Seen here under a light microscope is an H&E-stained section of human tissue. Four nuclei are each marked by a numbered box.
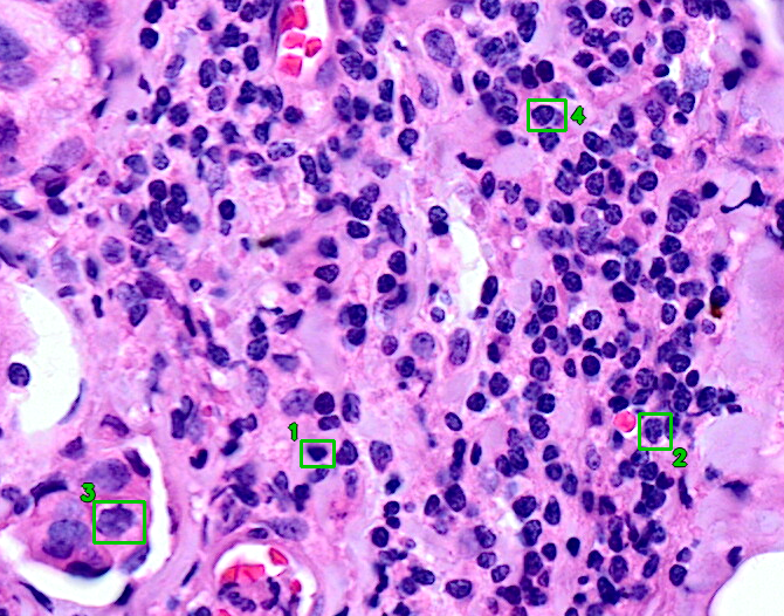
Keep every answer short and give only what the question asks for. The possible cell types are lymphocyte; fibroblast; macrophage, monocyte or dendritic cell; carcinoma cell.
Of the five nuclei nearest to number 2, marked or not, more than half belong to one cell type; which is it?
lymphocyte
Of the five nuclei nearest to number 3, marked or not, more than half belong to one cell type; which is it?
carcinoma cell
